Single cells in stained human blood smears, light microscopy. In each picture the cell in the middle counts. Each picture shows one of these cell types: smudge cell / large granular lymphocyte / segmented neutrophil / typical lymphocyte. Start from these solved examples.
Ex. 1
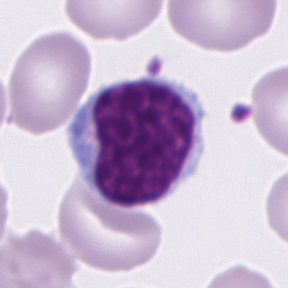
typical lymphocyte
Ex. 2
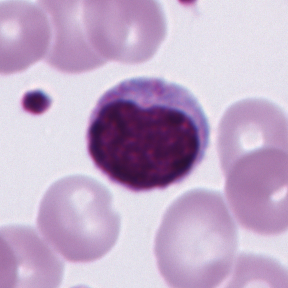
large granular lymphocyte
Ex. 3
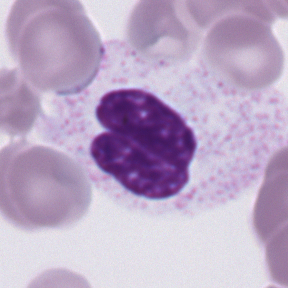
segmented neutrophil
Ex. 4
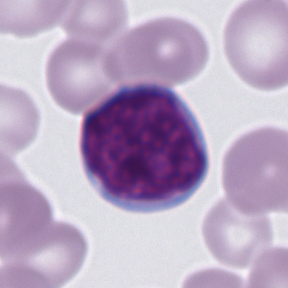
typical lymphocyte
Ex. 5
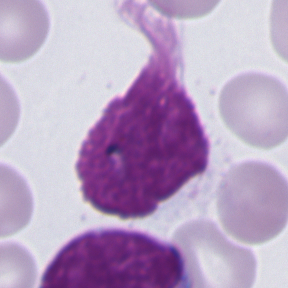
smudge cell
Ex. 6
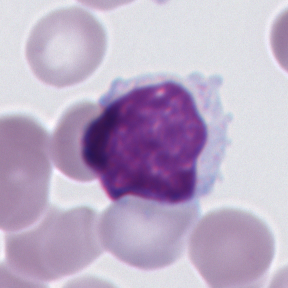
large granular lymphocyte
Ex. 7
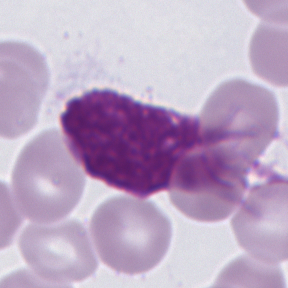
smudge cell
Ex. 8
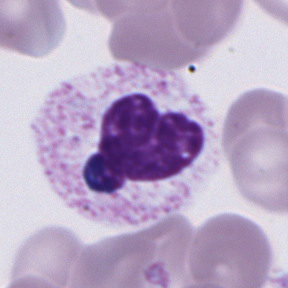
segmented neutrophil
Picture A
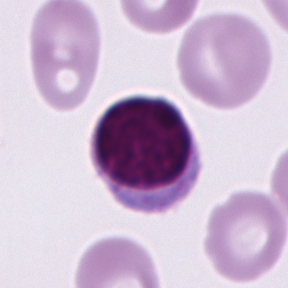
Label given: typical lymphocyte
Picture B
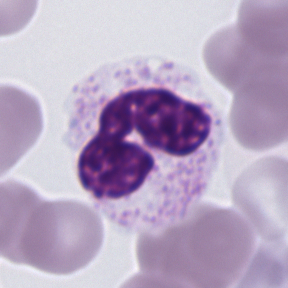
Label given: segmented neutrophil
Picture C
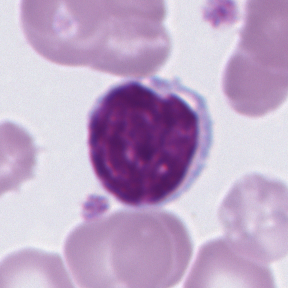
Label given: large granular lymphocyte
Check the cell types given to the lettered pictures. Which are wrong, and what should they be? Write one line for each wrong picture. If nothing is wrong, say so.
C is labelled large granular lymphocyte; correct label: typical lymphocyte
